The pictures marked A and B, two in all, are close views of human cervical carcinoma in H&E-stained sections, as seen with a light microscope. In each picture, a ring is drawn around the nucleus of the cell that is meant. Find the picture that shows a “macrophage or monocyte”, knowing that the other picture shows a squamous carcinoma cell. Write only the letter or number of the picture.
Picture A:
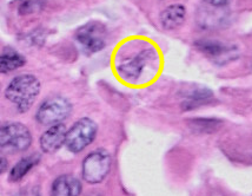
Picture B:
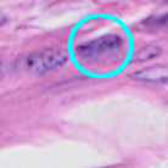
A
